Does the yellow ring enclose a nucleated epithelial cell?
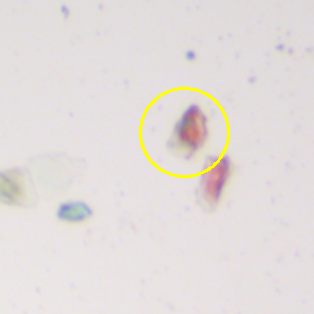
Yes. The ring encloses a nucleated epithelial cell.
